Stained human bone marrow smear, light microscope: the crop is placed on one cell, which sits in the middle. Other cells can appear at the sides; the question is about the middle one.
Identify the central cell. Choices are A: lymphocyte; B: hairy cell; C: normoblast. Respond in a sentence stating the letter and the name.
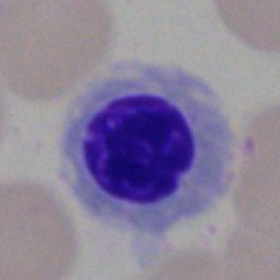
The central cell in this crop is a normoblast, corresponding to option C, the correct option.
